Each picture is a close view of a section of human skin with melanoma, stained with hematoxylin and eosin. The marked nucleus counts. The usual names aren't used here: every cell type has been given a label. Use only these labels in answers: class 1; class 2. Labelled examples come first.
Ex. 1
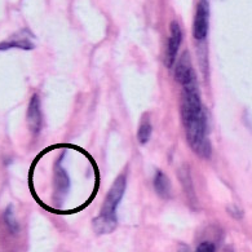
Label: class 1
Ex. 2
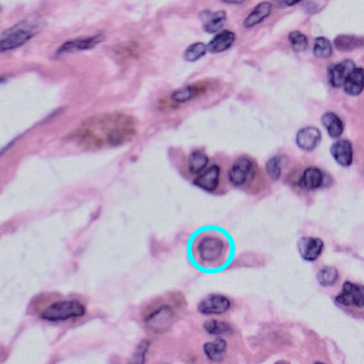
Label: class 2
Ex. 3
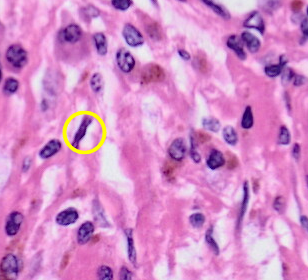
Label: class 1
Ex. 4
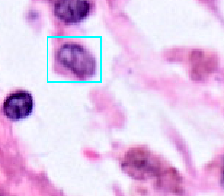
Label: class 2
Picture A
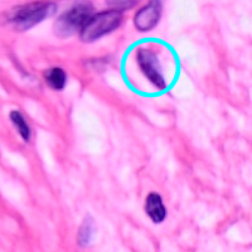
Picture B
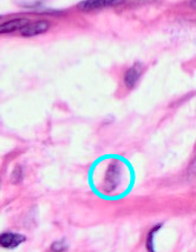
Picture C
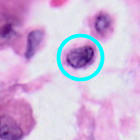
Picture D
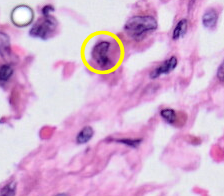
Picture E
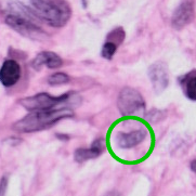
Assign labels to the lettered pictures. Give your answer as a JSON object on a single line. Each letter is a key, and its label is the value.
{"A": "class 1", "B": "class 1", "C": "class 2", "D": "class 2", "E": "class 2"}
